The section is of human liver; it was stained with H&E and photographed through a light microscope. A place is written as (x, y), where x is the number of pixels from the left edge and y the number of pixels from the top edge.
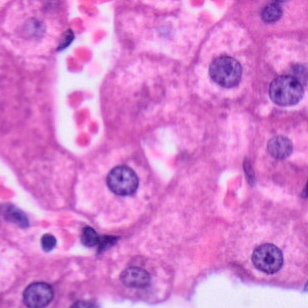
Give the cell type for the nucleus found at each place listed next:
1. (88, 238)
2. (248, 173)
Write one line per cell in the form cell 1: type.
cell 1: Kupffer cell
cell 2: endothelial cell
